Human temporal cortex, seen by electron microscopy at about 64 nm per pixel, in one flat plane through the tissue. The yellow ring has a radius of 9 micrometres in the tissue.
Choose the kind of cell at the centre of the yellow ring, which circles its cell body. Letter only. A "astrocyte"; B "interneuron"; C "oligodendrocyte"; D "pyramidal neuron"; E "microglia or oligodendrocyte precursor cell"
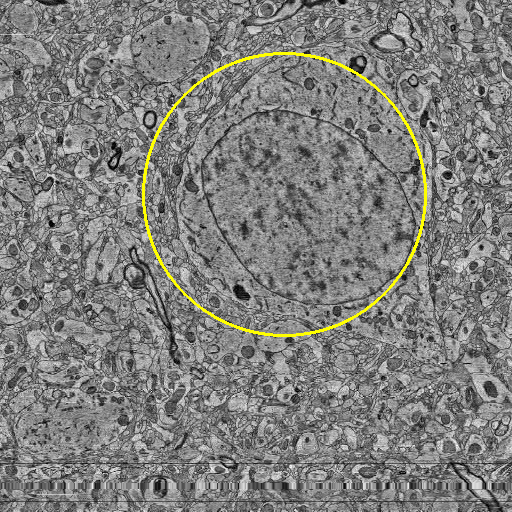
D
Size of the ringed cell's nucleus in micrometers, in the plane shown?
In this plane, about 15 micrometres in length and 12 in width.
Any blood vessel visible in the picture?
No, there is none.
